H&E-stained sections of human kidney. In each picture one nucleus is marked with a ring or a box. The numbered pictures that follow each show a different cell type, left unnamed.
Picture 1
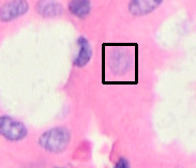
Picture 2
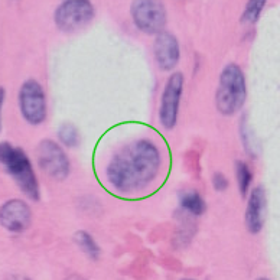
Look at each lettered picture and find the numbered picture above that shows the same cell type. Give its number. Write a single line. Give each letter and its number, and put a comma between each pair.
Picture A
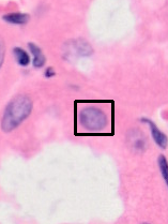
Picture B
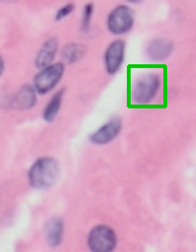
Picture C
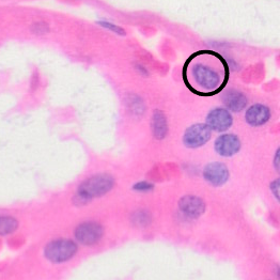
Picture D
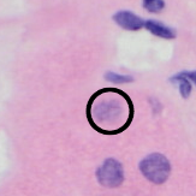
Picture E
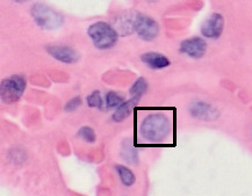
A 1, B 2, C 2, D 1, E 2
